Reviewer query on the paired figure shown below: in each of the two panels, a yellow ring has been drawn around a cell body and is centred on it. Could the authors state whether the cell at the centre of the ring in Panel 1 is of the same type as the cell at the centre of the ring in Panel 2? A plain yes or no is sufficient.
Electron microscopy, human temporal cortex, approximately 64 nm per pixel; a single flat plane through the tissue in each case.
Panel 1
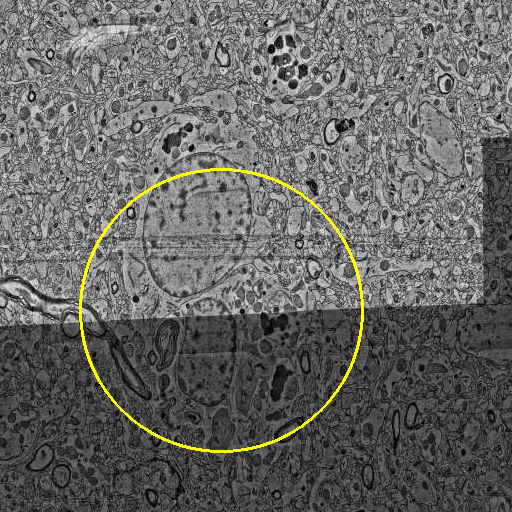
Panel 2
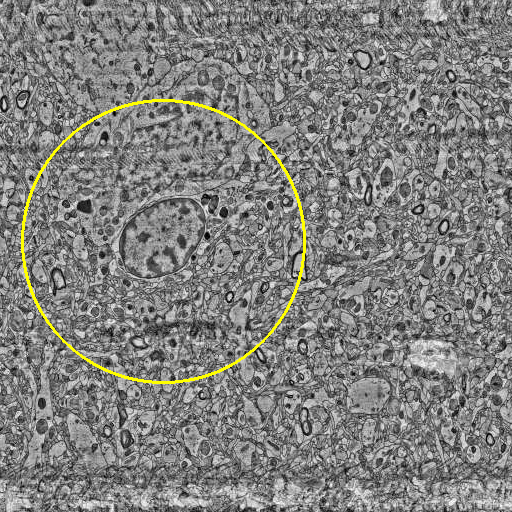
no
